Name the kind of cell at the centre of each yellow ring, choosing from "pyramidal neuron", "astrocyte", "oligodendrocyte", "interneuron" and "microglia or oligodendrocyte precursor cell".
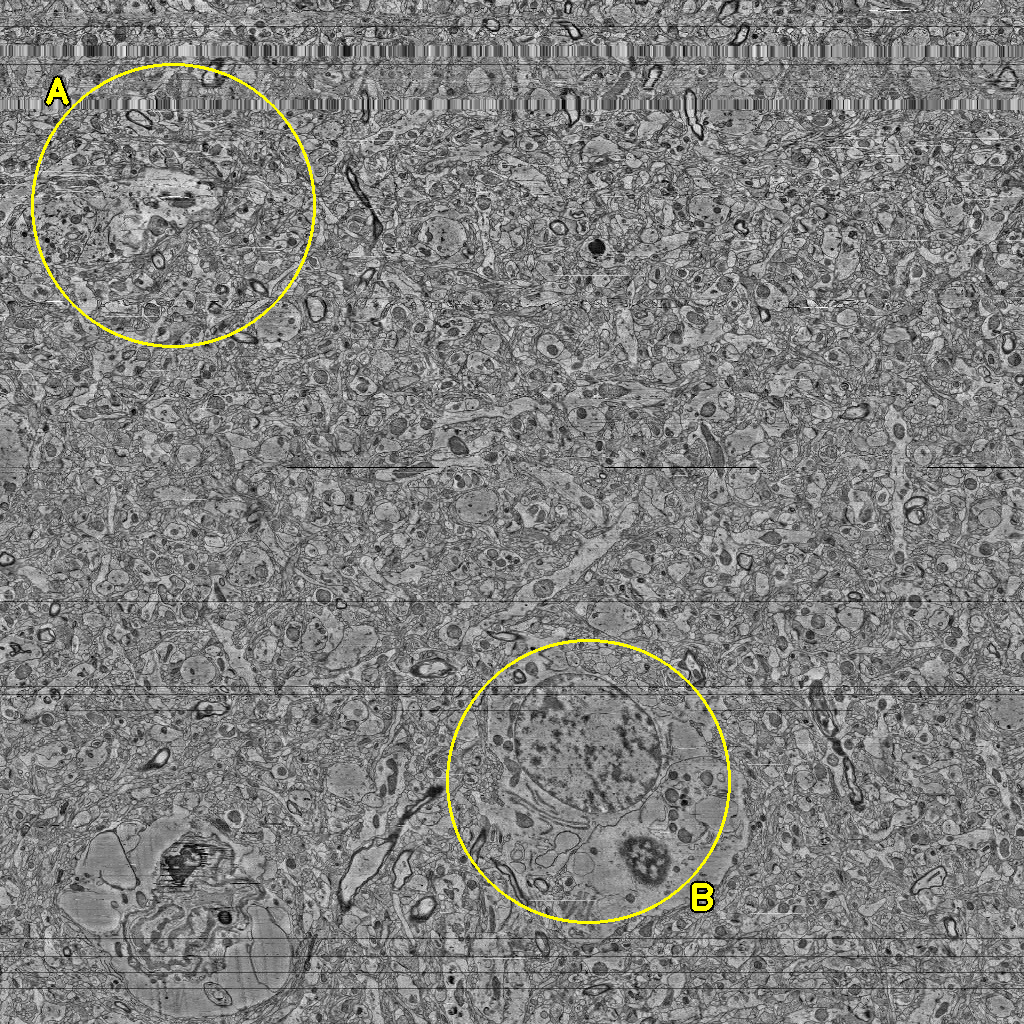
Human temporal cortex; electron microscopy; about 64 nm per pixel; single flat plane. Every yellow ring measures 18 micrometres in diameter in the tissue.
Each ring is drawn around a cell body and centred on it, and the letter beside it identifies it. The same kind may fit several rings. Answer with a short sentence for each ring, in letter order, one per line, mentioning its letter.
Ring A is drawn around a microglial cell or oligodendrocyte precursor cell.
Ring B is drawn around an astrocyte.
